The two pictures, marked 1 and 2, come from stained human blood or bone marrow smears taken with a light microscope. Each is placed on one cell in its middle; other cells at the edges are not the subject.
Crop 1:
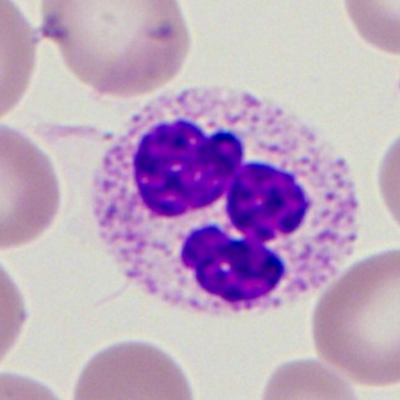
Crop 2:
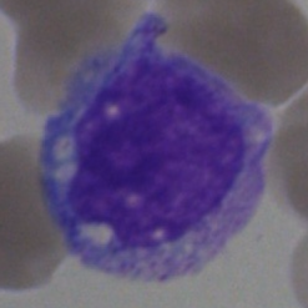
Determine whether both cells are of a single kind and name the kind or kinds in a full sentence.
No, a neutrophil is depicted by crop 1, a monocyte by crop 2.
